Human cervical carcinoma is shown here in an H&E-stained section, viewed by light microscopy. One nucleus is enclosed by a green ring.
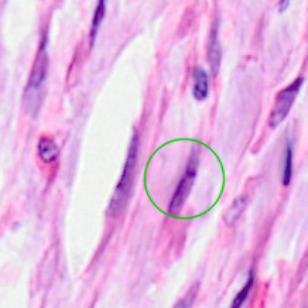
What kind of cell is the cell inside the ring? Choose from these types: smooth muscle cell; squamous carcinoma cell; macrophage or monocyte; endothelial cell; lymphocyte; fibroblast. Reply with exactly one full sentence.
In the context of this tissue, the cell inside the ring is a fibroblast.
